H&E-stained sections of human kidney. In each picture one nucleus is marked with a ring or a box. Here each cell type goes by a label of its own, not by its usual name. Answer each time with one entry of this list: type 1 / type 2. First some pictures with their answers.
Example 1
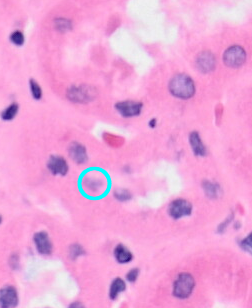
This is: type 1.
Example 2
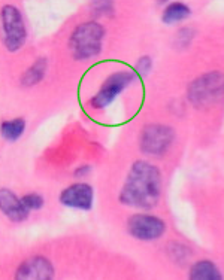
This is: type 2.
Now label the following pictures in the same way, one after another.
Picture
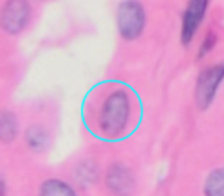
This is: type 1.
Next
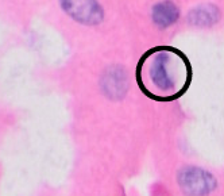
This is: type 1.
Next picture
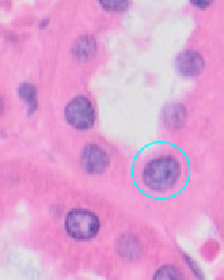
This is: type 1.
